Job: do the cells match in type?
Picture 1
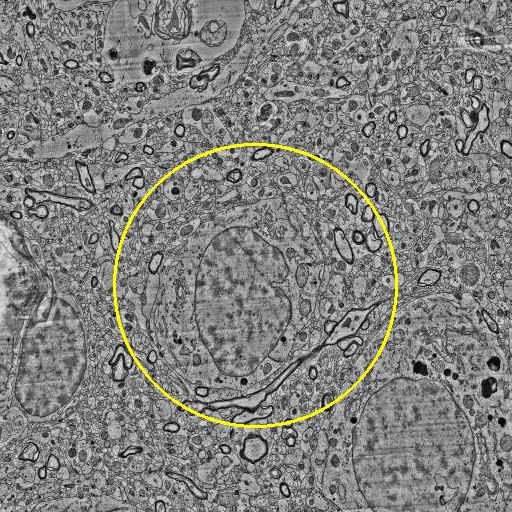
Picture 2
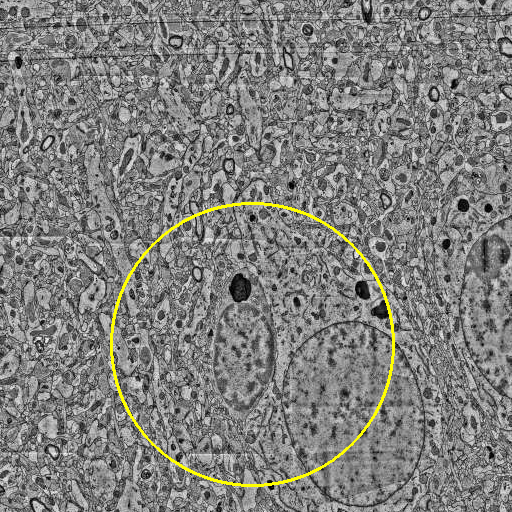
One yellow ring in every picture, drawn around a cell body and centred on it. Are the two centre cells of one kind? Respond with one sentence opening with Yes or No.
No, the ringed cells in the two pictures are of two separate kinds.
